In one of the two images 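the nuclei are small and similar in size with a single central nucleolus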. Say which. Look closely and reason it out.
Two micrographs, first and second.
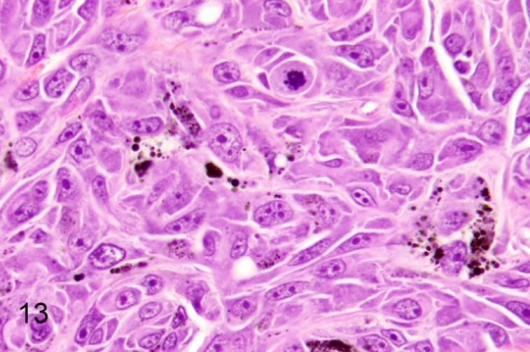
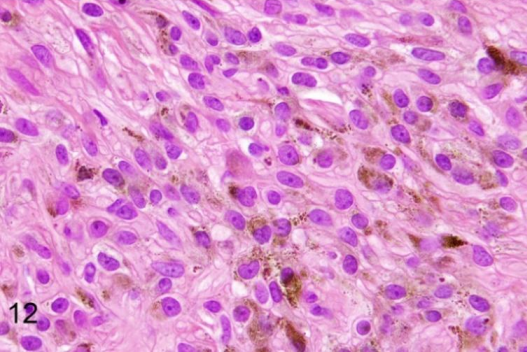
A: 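First image: nuclei are large and vary in size, with large, sometimes multiple nucleoli. Second image: nuclei are small, oval and uniform, with inconspicuous single nucleoli.
Conclusion: the second image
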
